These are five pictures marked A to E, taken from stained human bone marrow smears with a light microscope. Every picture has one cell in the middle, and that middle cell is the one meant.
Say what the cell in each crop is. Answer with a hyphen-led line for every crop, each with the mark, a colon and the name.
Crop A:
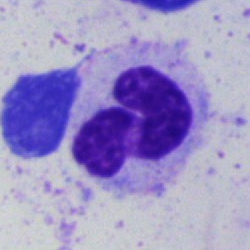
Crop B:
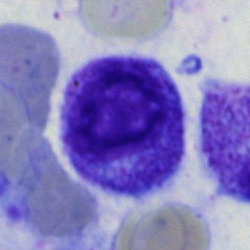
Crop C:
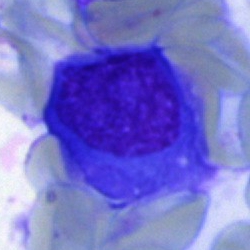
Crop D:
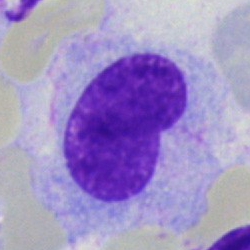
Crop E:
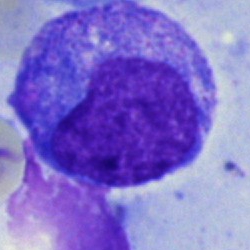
- A: band neutrophil
- B: myelocyte
- C: plasma cell
- D: hairy cell
- E: promyelocyte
